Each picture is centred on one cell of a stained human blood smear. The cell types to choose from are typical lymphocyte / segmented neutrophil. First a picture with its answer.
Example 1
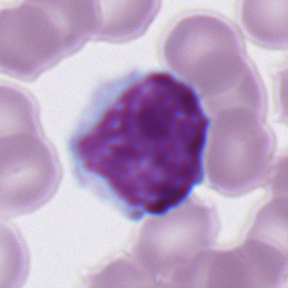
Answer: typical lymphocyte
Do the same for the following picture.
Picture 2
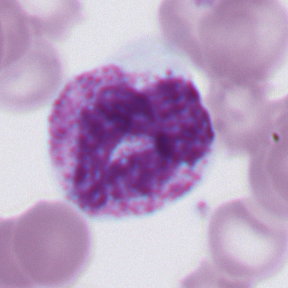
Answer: segmented neutrophil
